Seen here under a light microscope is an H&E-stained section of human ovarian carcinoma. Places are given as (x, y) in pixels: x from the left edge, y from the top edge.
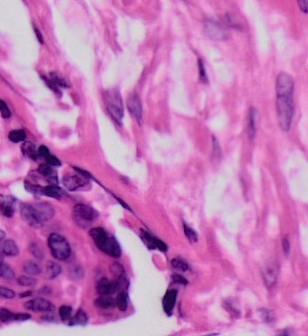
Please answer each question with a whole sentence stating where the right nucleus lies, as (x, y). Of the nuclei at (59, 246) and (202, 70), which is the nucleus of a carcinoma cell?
The nucleus that belongs to a carcinoma cell is located at (59, 246).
